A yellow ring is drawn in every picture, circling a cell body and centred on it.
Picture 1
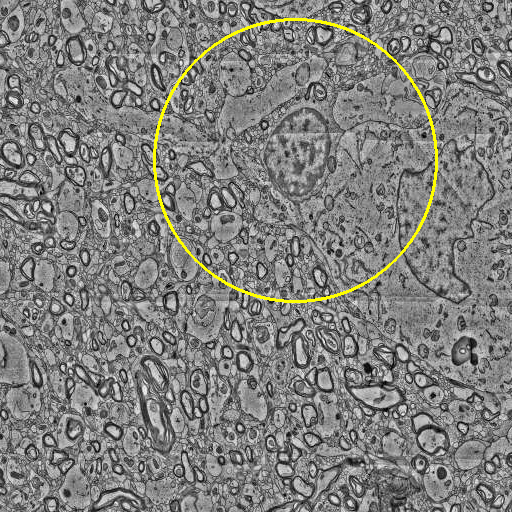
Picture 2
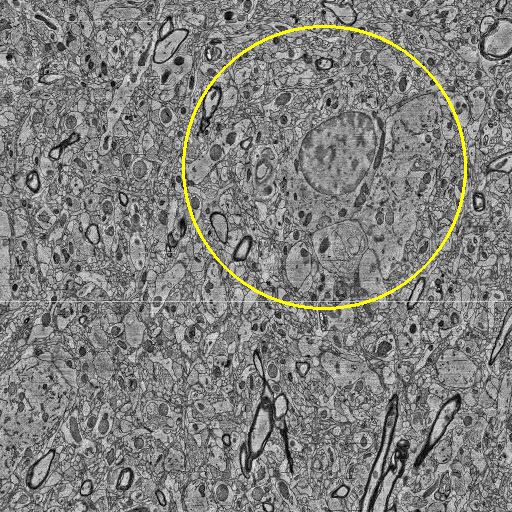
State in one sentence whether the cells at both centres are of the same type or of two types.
The cells at the two ring centres, one per picture, are of the same type.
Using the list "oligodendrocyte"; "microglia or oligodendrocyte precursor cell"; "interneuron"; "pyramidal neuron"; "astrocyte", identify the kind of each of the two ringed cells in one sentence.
Each of the two pictures has an oligodendrocyte at the ring centre.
